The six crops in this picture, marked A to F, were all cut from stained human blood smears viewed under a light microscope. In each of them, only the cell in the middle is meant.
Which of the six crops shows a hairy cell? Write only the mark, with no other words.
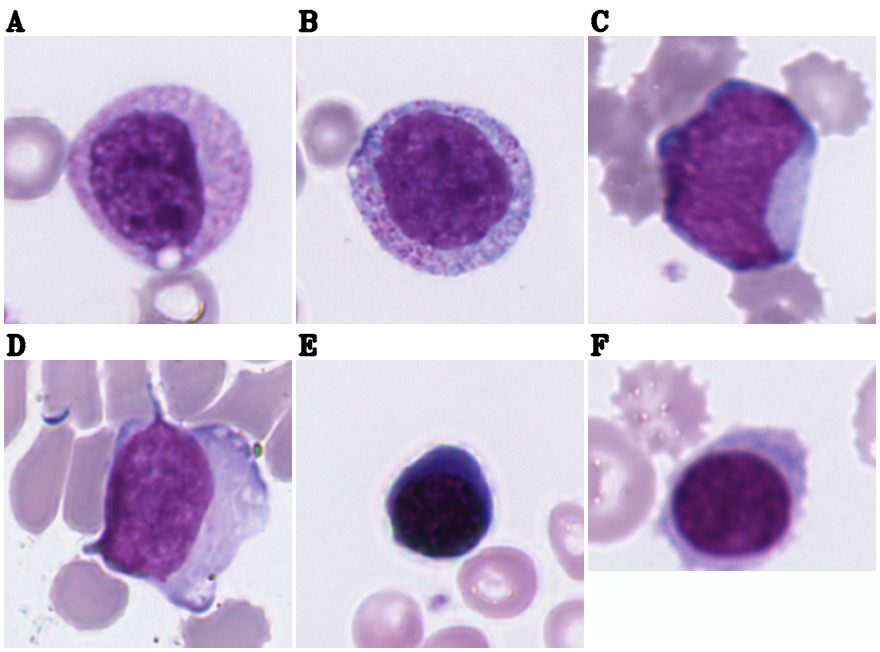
F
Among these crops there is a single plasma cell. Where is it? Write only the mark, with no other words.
D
